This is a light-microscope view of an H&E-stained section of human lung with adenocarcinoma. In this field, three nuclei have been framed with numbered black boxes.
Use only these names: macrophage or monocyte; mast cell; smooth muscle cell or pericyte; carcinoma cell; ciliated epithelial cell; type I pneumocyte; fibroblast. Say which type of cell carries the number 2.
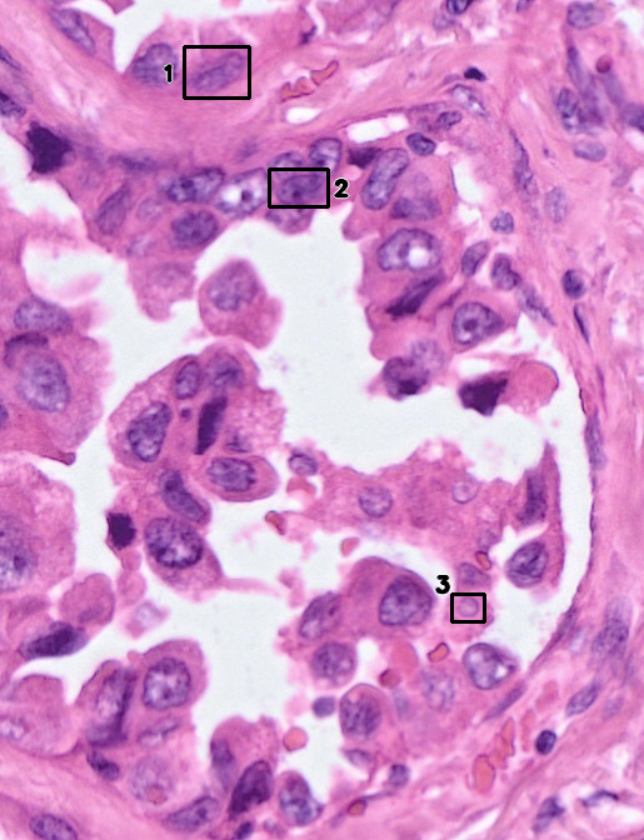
carcinoma cell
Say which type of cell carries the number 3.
macrophage or monocyte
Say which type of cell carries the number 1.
carcinoma cell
